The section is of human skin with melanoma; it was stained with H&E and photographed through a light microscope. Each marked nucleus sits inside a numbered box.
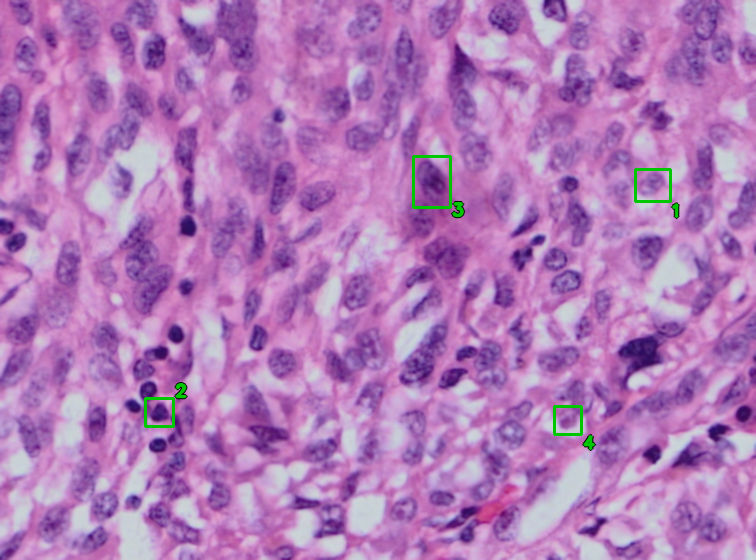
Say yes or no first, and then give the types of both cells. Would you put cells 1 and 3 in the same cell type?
Yes, note that cells 1 and 3 are both melanoma cells.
